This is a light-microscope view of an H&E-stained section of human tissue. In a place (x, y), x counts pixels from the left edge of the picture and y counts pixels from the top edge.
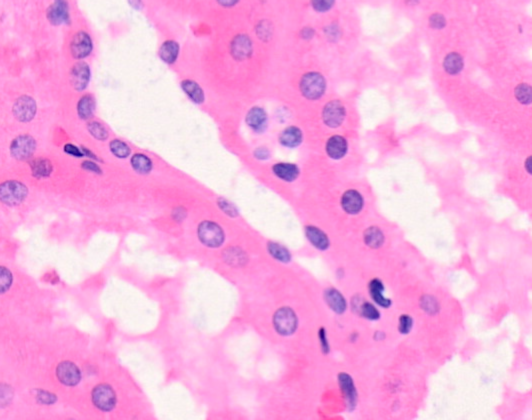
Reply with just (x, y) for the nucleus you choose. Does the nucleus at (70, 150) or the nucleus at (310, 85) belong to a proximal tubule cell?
(310, 85)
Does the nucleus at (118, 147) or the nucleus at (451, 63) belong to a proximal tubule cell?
(451, 63)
